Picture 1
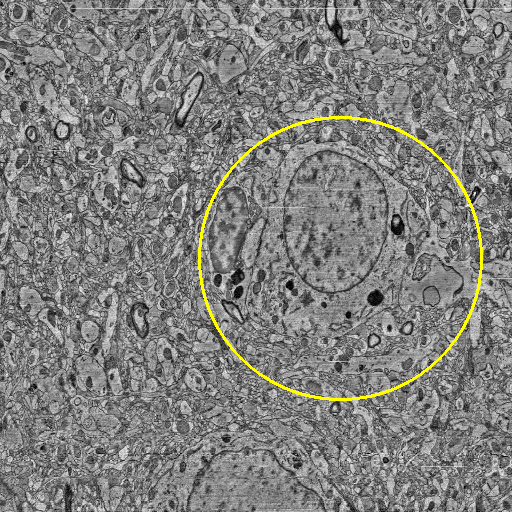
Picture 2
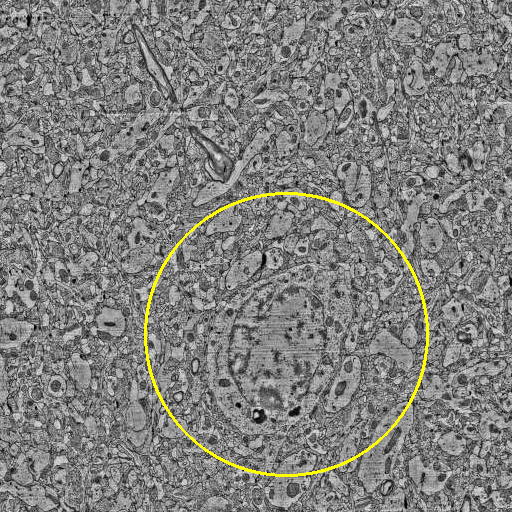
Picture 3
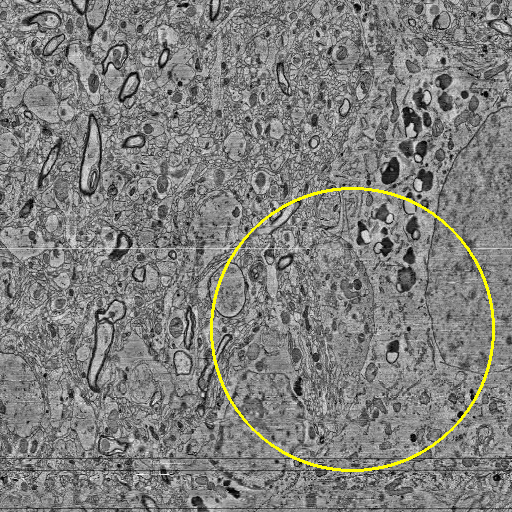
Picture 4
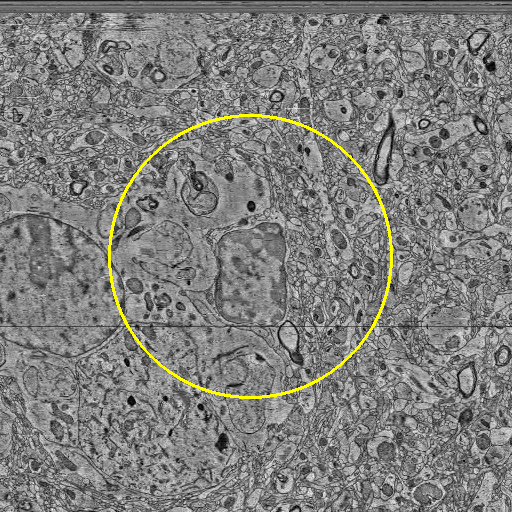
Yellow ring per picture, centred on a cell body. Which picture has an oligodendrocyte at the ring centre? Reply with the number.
3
